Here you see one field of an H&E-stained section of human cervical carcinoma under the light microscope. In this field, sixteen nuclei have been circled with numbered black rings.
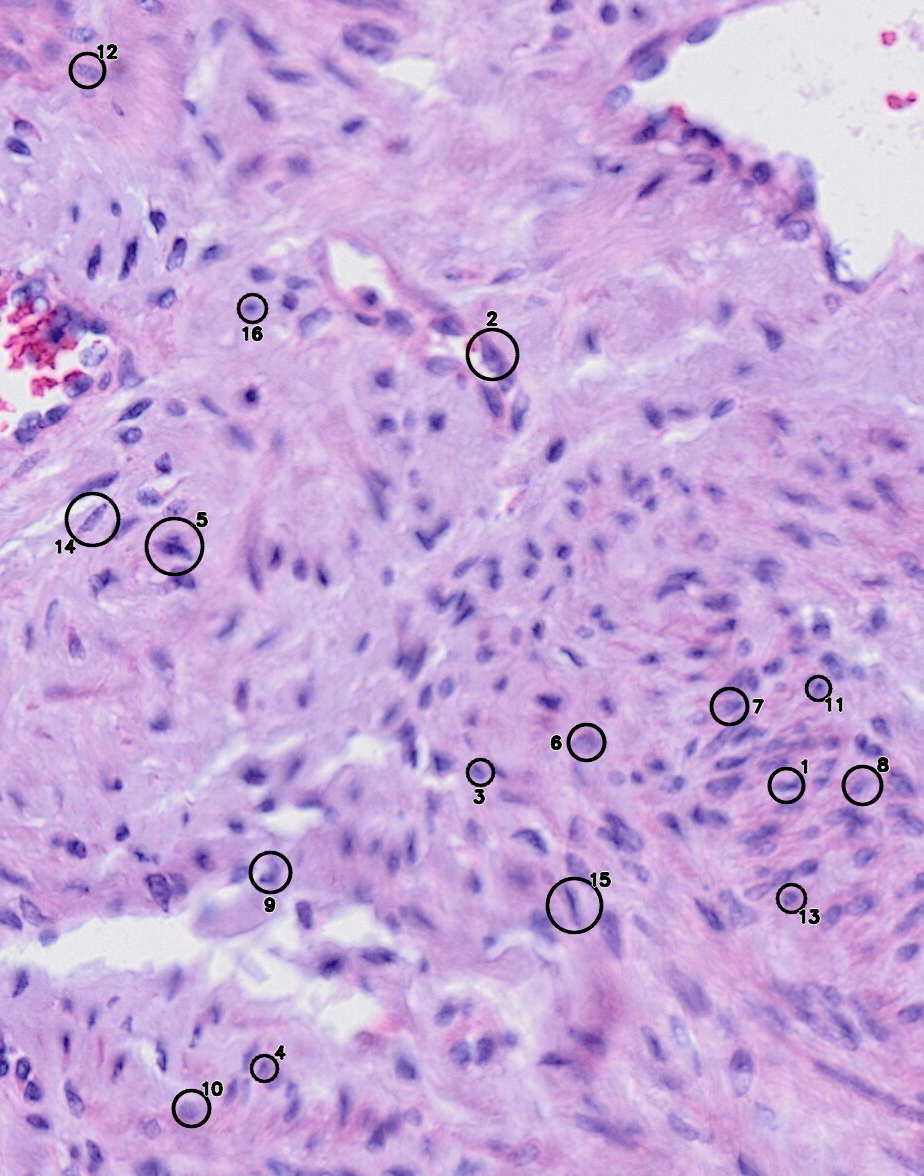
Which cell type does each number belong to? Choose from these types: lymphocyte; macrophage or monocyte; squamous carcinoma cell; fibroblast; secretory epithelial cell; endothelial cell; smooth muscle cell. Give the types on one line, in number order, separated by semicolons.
smooth muscle cell; endothelial cell; fibroblast; smooth muscle cell; fibroblast; smooth muscle cell; smooth muscle cell; smooth muscle cell; fibroblast; smooth muscle cell; smooth muscle cell; smooth muscle cell; smooth muscle cell; fibroblast; fibroblast; fibroblast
